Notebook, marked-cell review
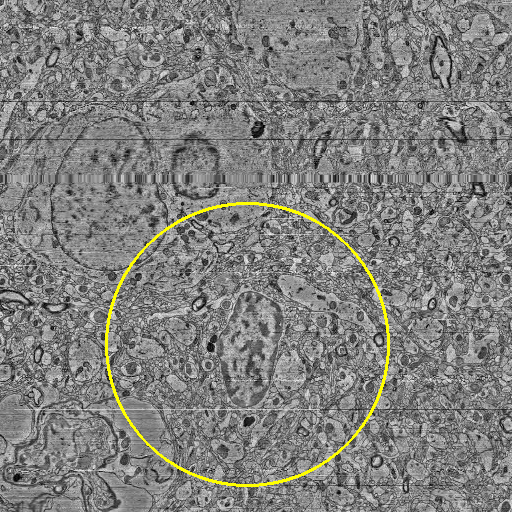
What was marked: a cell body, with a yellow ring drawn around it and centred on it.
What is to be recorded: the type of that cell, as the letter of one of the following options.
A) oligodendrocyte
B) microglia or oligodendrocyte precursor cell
B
